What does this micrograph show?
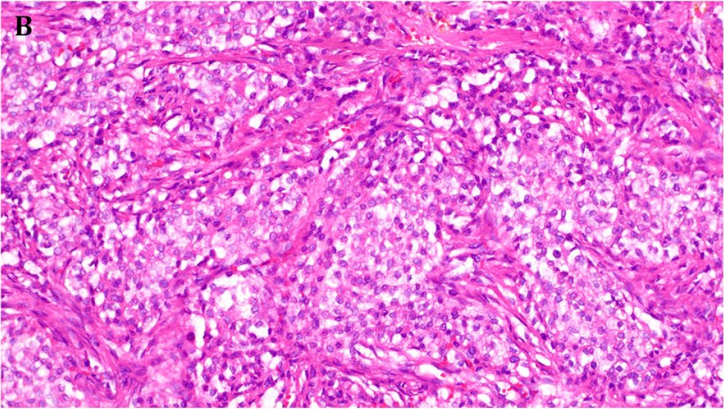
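Neoplastic cells are gathered into rounded organoid nests divided by fibrous septa. The nests contain uniform cells with pale to clear cytoplasm and small round nuclei. Between the nests run pink bands of fibrous tissue with elongated spindle-shaped nuclei. The cells look alike from nest to nest.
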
